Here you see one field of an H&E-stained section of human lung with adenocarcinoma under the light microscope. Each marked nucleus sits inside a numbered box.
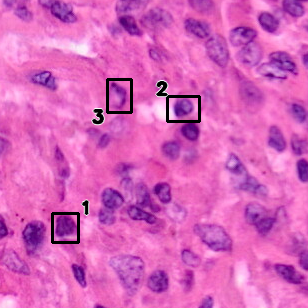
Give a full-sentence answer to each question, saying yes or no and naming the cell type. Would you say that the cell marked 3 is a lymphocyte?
No, the cell with the number 3 is a macrophage or monocyte, not a lymphocyte.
